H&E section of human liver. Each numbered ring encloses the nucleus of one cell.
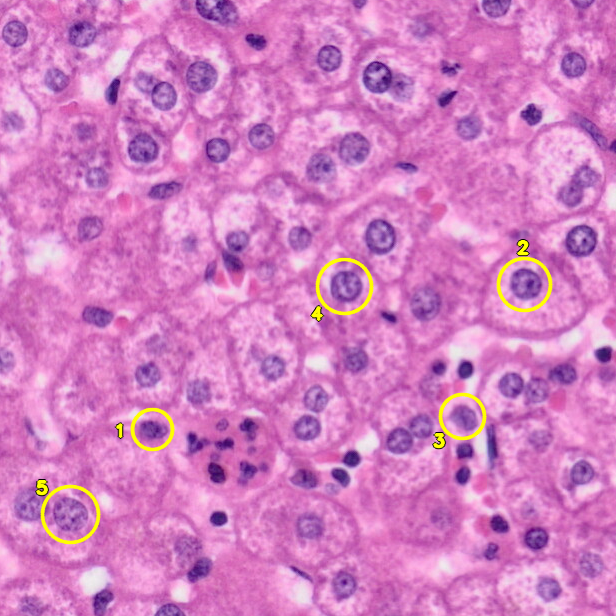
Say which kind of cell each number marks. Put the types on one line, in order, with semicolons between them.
Kupffer cell; hepatocyte; Kupffer cell; hepatocyte; hepatocyte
